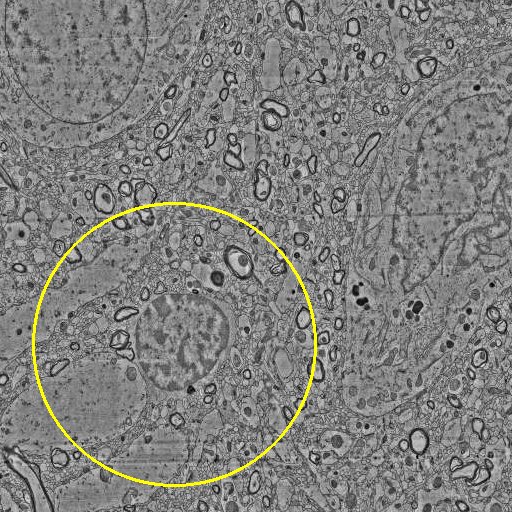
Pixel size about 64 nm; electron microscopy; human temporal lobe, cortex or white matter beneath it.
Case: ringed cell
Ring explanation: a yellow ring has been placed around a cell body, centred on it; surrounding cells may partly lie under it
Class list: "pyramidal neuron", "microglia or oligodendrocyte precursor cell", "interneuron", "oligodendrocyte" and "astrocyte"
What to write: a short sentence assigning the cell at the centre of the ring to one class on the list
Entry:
The cell at the ring's centre is an oligodendrocyte.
